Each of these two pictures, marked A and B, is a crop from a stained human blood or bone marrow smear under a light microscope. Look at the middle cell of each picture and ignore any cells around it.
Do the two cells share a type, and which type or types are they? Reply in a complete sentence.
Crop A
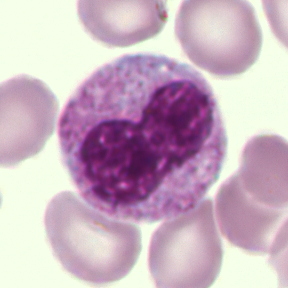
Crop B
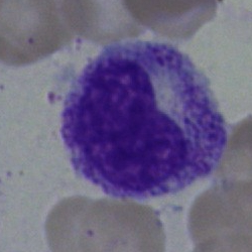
No, just to correct that: crop A shows a band neutrophil, crop B shows a metamyelocyte.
